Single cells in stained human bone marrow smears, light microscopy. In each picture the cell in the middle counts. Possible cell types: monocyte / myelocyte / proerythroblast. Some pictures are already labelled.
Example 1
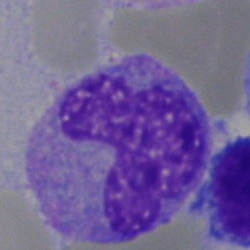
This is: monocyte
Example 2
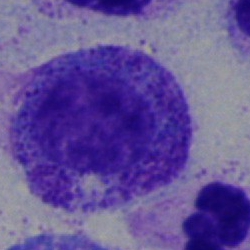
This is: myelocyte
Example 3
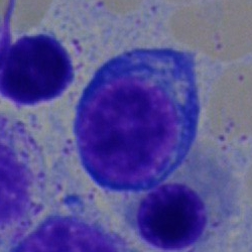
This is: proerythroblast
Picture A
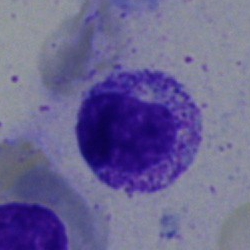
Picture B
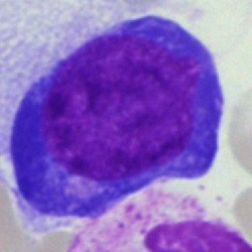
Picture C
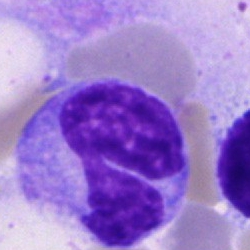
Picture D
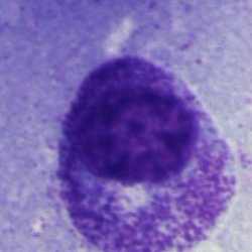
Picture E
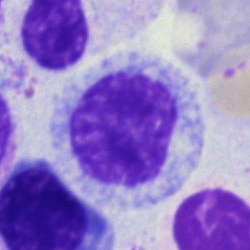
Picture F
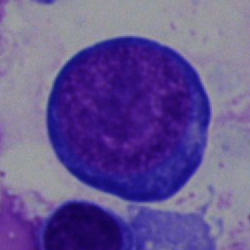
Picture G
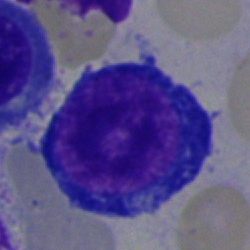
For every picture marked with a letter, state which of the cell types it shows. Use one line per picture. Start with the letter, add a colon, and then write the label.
A: myelocyte
B: proerythroblast
C: monocyte
D: myelocyte
E: myelocyte
F: proerythroblast
G: proerythroblast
